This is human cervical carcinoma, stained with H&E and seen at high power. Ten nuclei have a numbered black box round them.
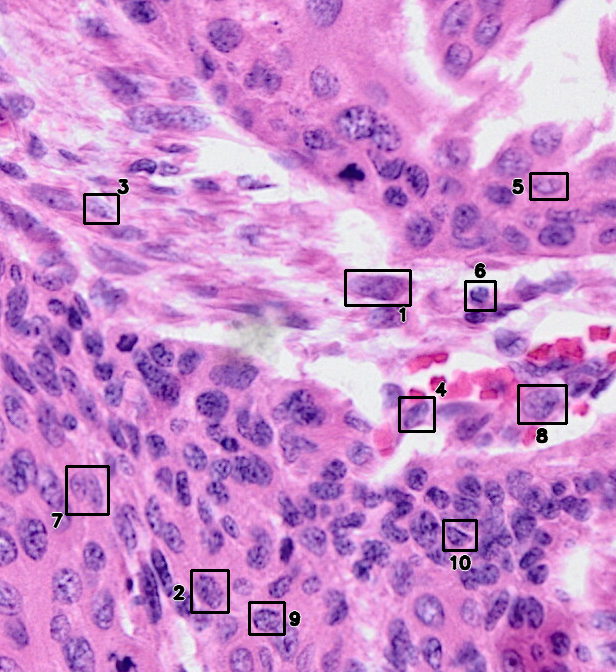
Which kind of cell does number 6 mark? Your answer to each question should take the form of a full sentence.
The cell numbered 6 represents a lymphocyte.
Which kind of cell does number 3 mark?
The correct answer for cell 3 is a fibroblast.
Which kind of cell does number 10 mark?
The label 10 in this section denotes a squamous carcinoma cell.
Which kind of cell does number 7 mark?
The numbered cell 7 is identified here as a squamous carcinoma cell.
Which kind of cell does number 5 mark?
The cell assigned the number 5 is a squamous carcinoma cell.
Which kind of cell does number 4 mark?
Cell 4, as marked in the section, is an endothelial cell.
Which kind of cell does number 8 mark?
To an endothelial cell belongs the nucleus marked 8.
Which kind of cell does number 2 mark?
The cell indicated with the number 2 is classed as a squamous carcinoma cell.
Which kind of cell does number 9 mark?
What the number 9 marks in this field is a squamous carcinoma cell.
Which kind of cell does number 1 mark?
The numbered cell 1 is identified here as a fibroblast.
